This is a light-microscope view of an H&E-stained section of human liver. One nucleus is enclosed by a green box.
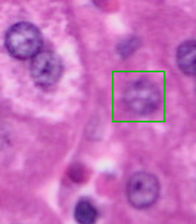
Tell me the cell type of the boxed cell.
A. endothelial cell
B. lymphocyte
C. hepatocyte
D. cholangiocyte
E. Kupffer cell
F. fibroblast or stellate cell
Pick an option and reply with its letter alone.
C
